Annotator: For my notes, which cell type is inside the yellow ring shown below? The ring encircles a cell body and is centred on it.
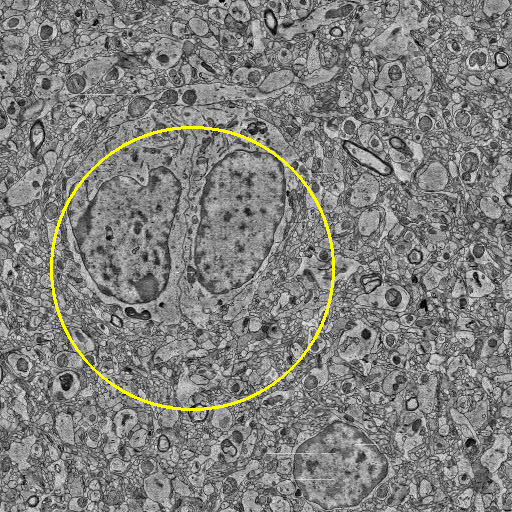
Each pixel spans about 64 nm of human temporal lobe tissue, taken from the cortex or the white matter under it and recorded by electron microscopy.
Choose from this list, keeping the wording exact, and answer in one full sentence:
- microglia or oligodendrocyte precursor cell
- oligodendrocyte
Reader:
At the centre of the yellow ring there is a microglial cell or oligodendrocyte precursor cell, as shown in the picture.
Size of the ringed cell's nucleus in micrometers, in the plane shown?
Roughly 10 by 5 micrometres; in this plane, clearly longer than it is wide.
